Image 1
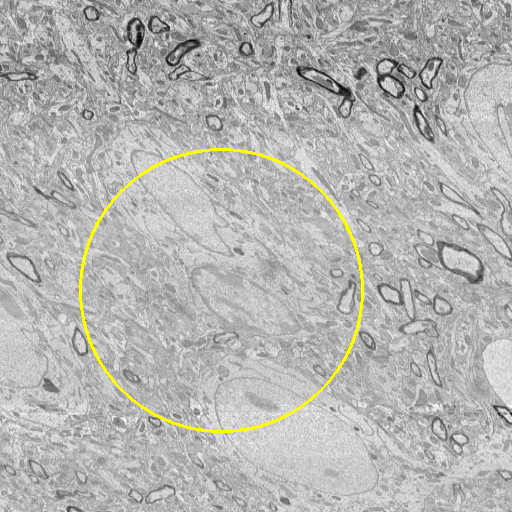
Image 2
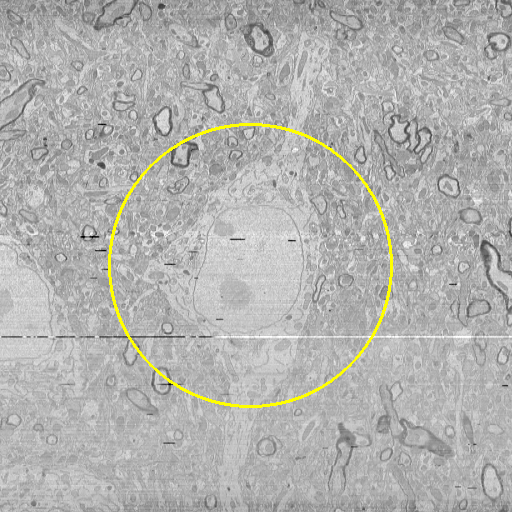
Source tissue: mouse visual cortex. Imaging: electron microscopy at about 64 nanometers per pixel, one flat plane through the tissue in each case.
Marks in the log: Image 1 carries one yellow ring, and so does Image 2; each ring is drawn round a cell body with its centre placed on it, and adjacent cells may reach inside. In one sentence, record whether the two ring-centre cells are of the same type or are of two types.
The two cells at the ring centres, one in each image, are of two types.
